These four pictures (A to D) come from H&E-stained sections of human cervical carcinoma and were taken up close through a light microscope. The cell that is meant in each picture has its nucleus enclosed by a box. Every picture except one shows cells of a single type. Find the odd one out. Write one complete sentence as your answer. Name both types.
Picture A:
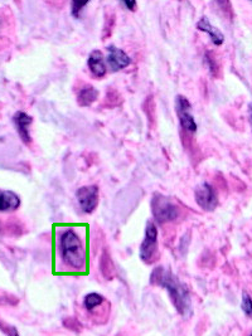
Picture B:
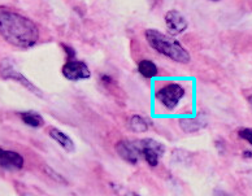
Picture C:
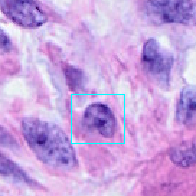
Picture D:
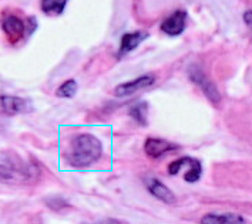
The others show “macrophages or monocytes”, but picture B shows a lymphocyte.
